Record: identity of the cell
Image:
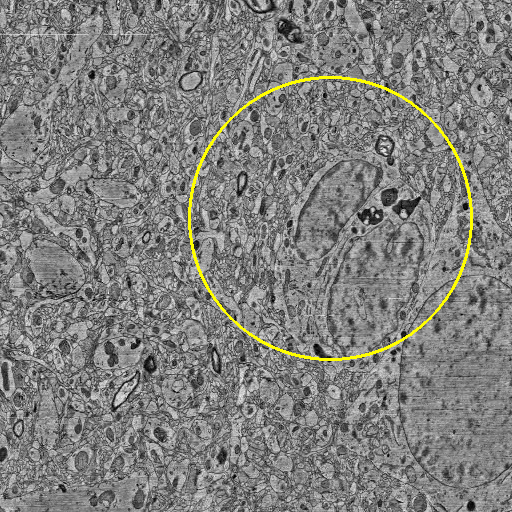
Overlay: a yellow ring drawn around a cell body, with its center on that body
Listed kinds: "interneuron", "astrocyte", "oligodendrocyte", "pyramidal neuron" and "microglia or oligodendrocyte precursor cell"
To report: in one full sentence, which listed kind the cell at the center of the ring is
In the image, the cell body at the ring's center belongs to a microglial cell or oligodendrocyte precursor cell.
